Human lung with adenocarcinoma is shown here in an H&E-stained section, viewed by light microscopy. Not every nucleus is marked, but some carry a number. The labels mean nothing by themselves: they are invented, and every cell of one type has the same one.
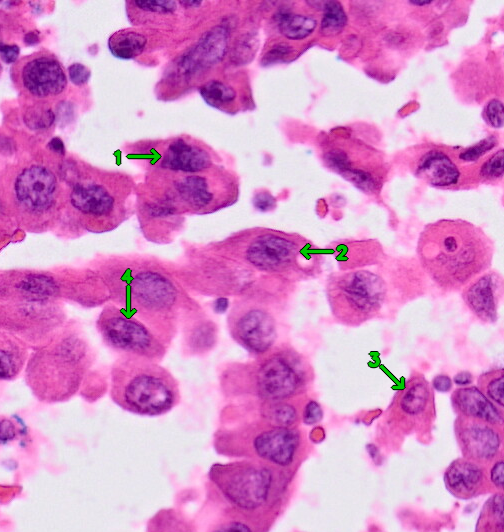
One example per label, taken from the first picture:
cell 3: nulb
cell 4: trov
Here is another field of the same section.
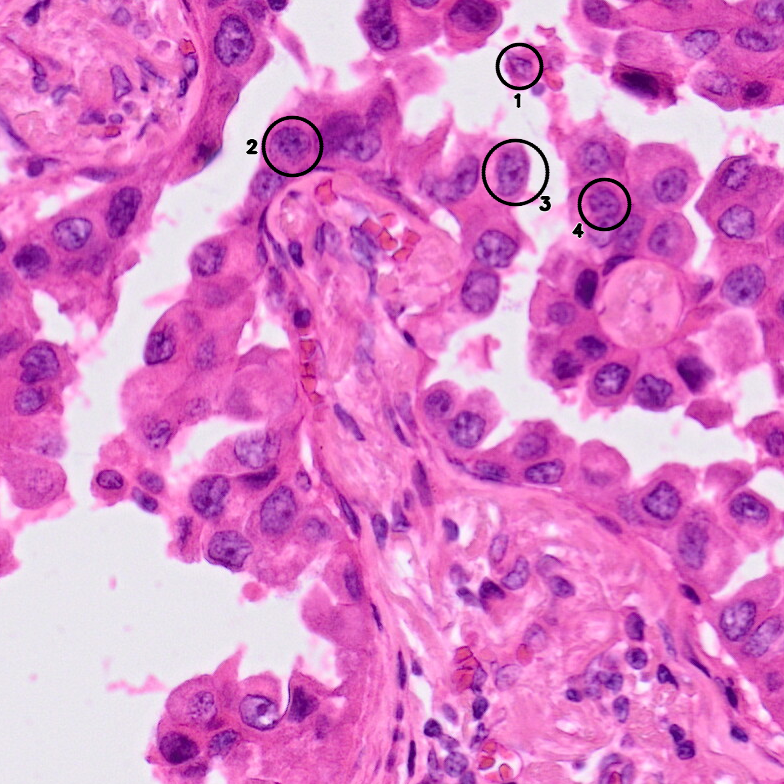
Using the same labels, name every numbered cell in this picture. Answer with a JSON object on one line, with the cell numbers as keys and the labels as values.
{"1": "nulb", "2": "trov", "3": "trov", "4": "trov"}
